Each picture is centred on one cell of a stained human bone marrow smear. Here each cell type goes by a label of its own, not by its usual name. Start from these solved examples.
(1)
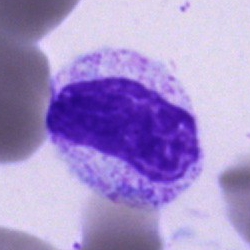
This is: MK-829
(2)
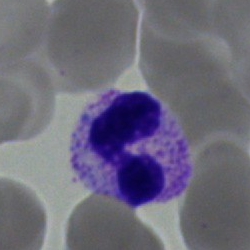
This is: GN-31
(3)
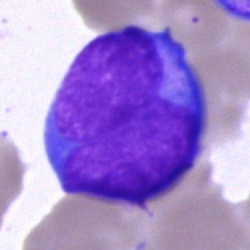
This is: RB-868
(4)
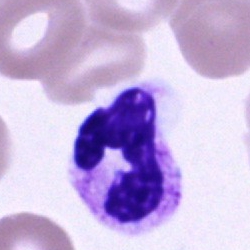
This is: GN-31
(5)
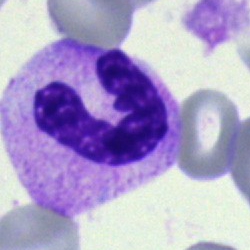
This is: GN-31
